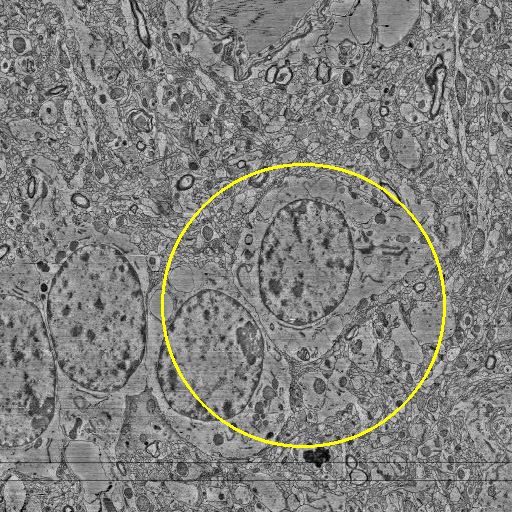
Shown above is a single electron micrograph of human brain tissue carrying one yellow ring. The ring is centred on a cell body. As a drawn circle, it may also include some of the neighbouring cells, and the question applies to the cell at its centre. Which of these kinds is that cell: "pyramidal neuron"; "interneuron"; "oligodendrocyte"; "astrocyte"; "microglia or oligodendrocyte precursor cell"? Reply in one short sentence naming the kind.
The cell marked by the ring is an astrocyte.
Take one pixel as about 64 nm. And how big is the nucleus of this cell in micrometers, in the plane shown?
The nucleus appears roughly 8 by 6 micrometres in this plane.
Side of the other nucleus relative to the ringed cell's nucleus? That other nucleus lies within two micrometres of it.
The second nucleus lies to the lower left of it.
